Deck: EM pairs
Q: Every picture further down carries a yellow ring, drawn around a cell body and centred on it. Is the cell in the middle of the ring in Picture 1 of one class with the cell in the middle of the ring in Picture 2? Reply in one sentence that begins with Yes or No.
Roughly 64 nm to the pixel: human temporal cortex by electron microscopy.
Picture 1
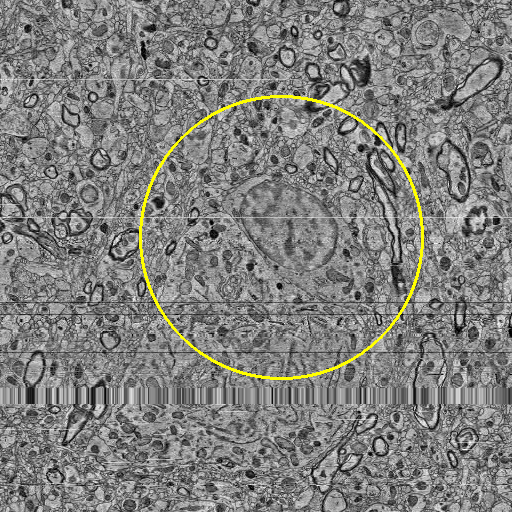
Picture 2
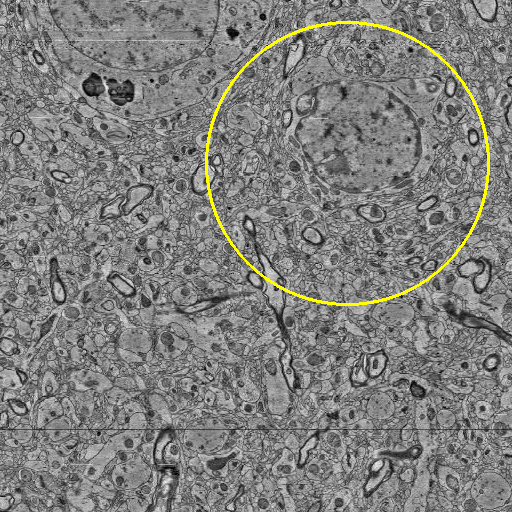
No, the cell centred in the ring of Picture 1 and the one in Picture 2 belong to separate classes.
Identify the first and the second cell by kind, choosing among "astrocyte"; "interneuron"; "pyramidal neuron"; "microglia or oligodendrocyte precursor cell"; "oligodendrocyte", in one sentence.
The one in the first picture is an oligodendrocyte, while the one in the second is a microglial cell or oligodendrocyte precursor cell.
